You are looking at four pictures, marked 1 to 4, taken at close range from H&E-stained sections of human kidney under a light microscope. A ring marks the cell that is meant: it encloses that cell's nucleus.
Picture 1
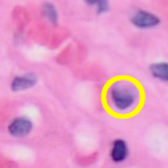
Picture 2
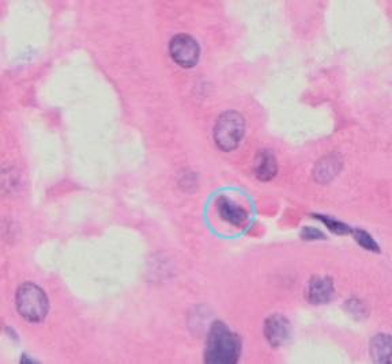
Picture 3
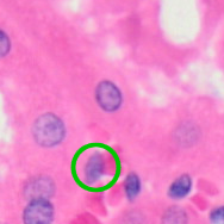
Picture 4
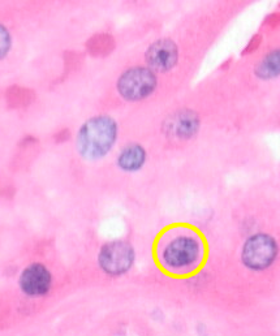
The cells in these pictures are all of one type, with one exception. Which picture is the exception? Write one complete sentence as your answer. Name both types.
The different one is picture 4; it shows a proximal tubule cell, whereas all the others show endothelial cells.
